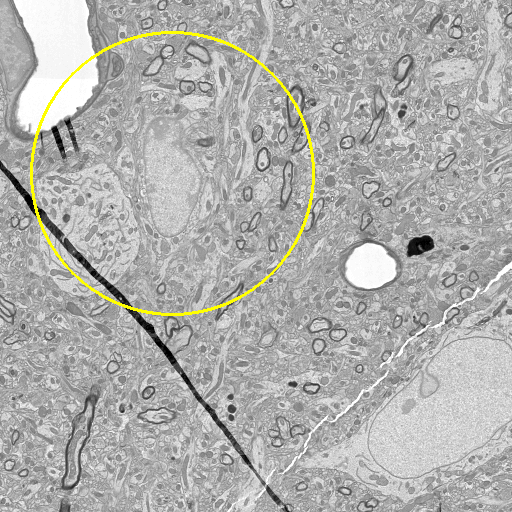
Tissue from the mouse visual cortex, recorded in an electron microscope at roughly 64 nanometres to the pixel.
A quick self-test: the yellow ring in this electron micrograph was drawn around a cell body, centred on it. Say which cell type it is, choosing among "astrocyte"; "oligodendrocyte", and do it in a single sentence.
The yellow-ringed cell is an astrocyte.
